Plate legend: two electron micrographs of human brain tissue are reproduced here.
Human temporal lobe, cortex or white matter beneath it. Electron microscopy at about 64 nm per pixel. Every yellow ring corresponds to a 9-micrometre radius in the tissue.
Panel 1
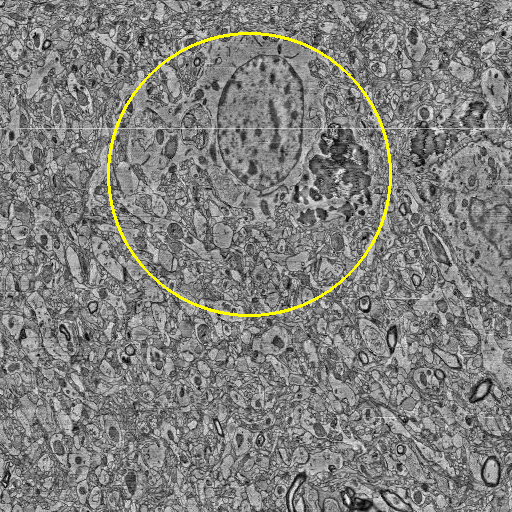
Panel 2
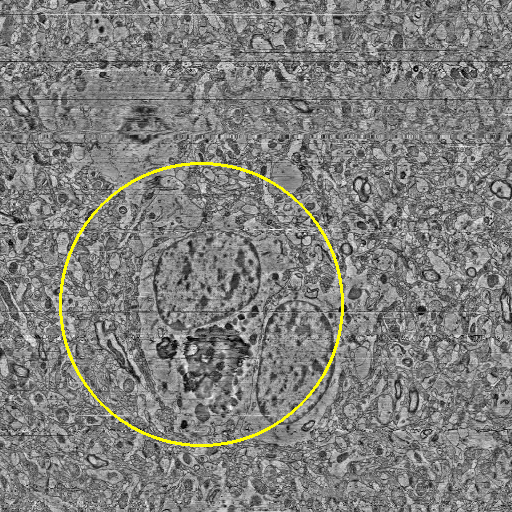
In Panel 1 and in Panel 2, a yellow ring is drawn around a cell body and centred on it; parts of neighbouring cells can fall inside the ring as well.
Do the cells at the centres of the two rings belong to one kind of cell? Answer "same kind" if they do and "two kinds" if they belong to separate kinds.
same kind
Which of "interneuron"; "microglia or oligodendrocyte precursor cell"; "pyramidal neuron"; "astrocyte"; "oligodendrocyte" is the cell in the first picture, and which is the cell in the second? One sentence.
In both pictures the ring is centred on an astrocyte.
